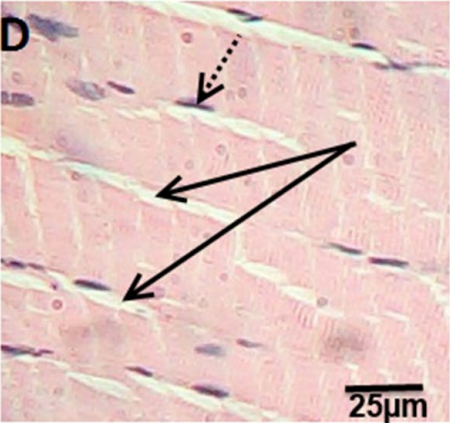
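Longitudinally cut muscle fibers with pink cytoplasm run diagonally in parallel, separated by narrow pale clefts. Fine regular cross-striations cross the fibers. Flattened, elongated dark purple nuclei lie along the fiber edges.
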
